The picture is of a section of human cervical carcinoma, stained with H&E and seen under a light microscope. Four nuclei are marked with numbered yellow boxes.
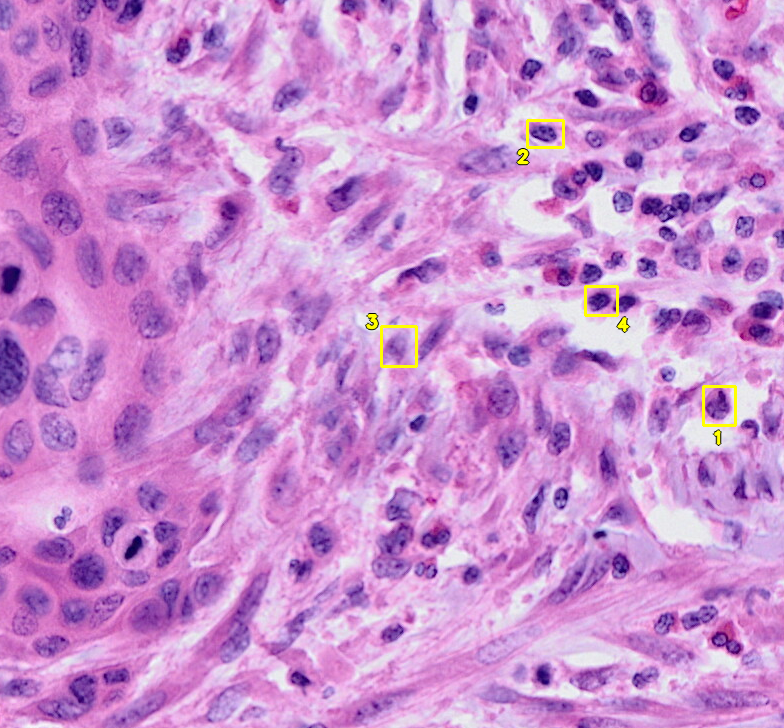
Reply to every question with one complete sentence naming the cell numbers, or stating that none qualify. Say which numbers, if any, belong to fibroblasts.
Cell 3 stands alone among the numbered cells as a fibroblast.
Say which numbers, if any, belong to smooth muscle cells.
The numbered cells are, without exception, not smooth muscle cells.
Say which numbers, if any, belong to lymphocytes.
The cells which carry the numbers 2 and 4 are lymphocytes.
